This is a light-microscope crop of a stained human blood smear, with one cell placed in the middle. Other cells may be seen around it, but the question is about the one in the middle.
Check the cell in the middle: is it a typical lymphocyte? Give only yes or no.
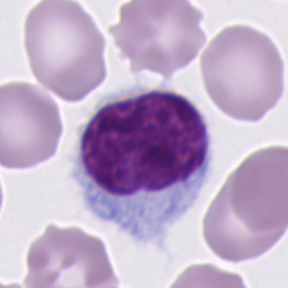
no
